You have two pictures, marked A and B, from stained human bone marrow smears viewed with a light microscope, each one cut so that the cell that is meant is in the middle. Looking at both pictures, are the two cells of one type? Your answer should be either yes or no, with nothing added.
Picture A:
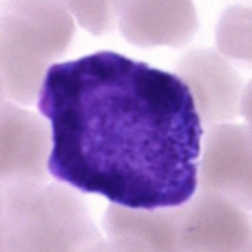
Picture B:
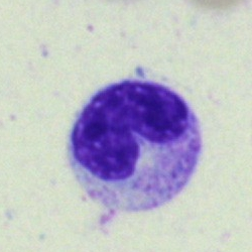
no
